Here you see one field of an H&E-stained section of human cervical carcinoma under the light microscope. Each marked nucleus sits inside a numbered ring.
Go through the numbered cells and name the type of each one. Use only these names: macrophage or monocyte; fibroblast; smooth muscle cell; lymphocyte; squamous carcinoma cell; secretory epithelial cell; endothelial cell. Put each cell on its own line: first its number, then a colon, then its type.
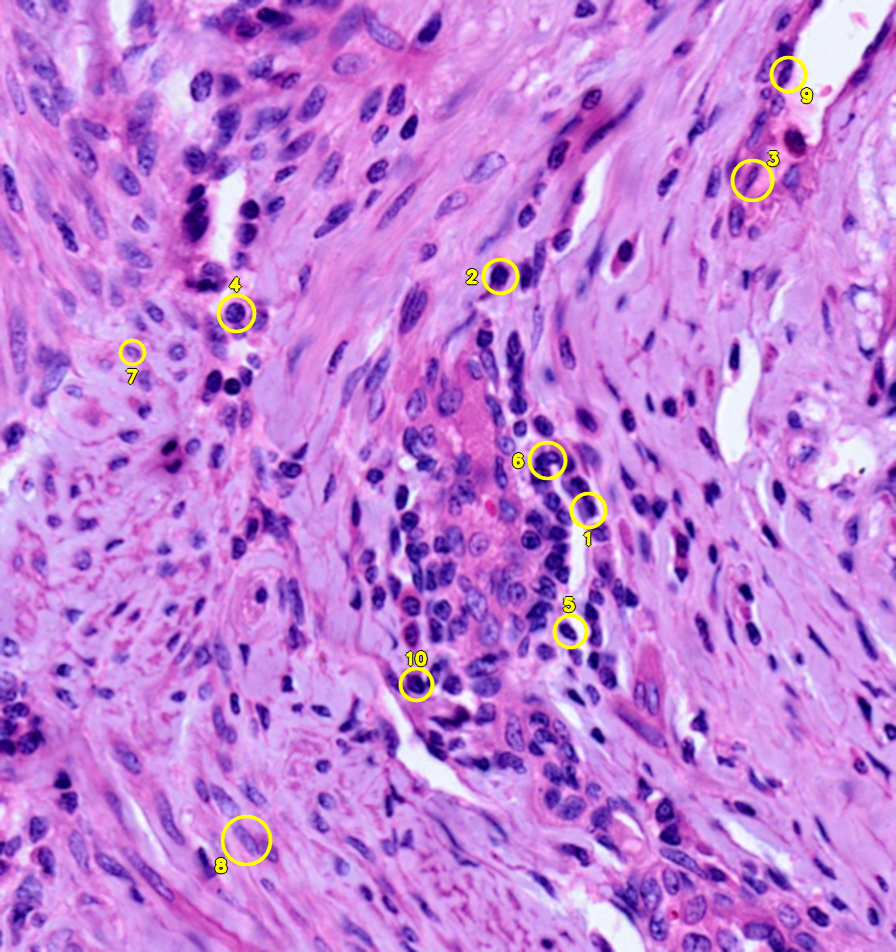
1: lymphocyte
2: lymphocyte
3: endothelial cell
4: lymphocyte
5: lymphocyte
6: lymphocyte
7: smooth muscle cell
8: smooth muscle cell
9: endothelial cell
10: lymphocyte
